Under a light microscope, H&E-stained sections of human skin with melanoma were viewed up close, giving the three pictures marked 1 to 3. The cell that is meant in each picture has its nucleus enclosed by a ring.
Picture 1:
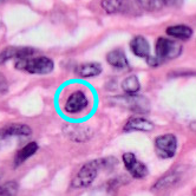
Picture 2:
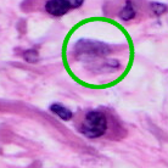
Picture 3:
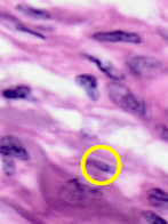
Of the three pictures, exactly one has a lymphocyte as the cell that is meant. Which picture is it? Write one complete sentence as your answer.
It is picture 1 that shows the lymphocyte.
